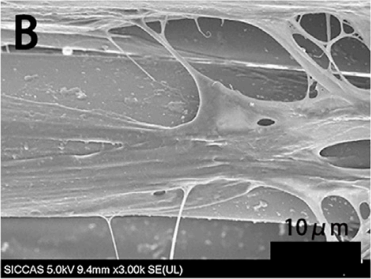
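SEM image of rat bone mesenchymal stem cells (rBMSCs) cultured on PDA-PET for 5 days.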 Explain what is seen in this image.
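Flattened cells spread along the fibres and stretch across the gaps between neighbouring fibres, forming thin, sheet-like bridges. These sheets are perforated by rounded openings of varying size, giving a lace-like, web appearance where cytoplasm thins out. Fine thread-like processes extend from the cell margins and anchor onto the fibre surfaces. Longitudinal ridges run along the spread cell bodies in the direction of the underlying fibre. Small granular particles are scattered over the fibre and cell surfaces.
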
